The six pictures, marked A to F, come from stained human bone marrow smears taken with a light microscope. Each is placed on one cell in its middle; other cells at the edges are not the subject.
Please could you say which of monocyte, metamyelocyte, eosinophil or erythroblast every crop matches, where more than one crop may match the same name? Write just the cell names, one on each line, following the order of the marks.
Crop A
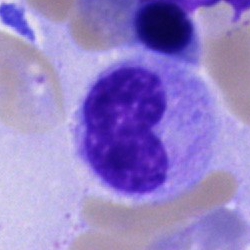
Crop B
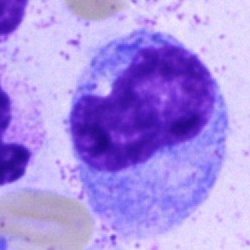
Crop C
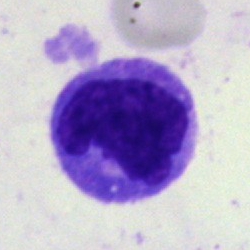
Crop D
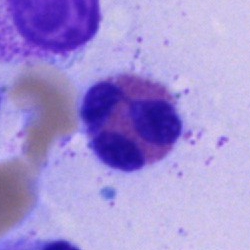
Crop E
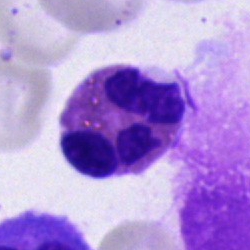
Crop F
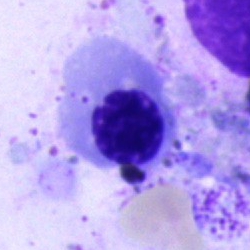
metamyelocyte
monocyte
monocyte
eosinophil
eosinophil
erythroblast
